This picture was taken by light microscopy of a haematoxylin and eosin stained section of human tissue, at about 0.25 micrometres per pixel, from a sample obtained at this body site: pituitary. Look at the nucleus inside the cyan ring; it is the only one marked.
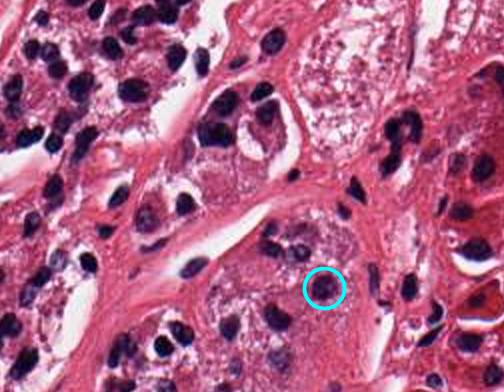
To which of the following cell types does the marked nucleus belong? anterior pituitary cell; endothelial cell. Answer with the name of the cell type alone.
anterior pituitary cell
